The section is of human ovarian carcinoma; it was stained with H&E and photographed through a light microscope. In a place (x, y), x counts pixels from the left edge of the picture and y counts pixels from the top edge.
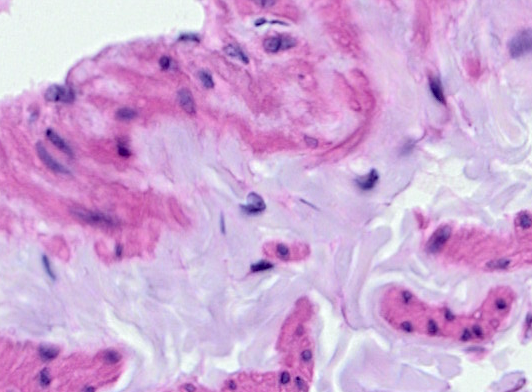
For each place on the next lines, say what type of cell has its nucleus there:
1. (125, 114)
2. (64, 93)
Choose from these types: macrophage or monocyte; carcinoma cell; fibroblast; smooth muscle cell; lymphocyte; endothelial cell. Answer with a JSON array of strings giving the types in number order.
["smooth muscle cell", "endothelial cell"]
